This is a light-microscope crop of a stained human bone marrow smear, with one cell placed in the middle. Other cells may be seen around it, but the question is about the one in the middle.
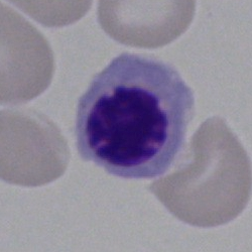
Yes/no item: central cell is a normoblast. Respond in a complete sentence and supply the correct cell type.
Yes, the cell lying in the middle is a normoblast.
